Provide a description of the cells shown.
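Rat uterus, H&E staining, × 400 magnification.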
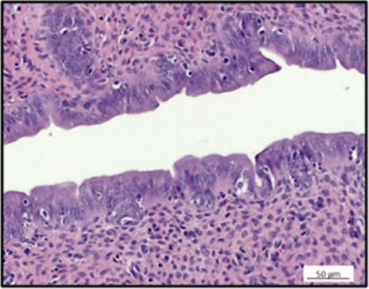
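Uterine endometrium with a slit-like lumen bordered by a tall columnar epithelium on both sides. The epithelial cells stand in a palisade, with oval purple nuclei and pink cytoplasm, and the lining dips into the underlying tissue in small glandular invaginations. Below the epithelium the stroma is made of closely packed cells with oval to spindle-shaped nuclei set in pale pink matrix. The lumen itself is clear and empty.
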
